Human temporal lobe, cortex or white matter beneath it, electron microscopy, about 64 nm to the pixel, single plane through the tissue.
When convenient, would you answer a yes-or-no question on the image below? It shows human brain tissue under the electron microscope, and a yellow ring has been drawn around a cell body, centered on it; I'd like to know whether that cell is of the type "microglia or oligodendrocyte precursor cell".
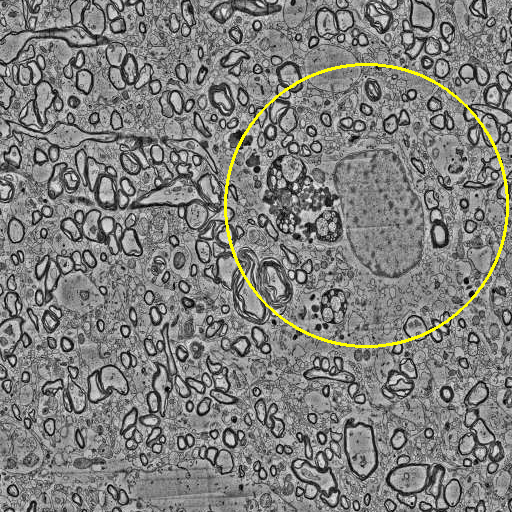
no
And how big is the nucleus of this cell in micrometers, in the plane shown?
In this plane, approximately 8 by 6 micrometers.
